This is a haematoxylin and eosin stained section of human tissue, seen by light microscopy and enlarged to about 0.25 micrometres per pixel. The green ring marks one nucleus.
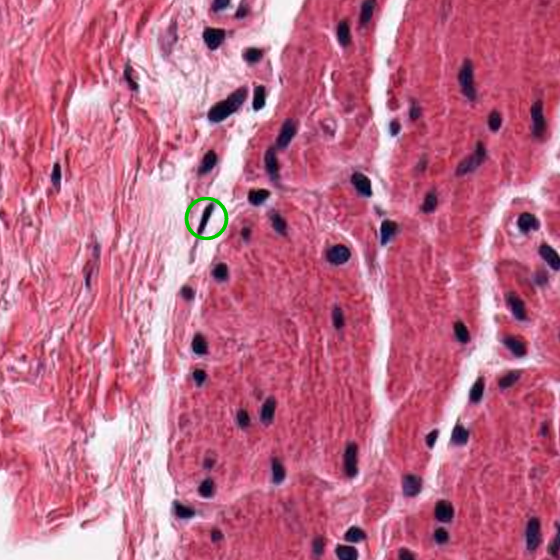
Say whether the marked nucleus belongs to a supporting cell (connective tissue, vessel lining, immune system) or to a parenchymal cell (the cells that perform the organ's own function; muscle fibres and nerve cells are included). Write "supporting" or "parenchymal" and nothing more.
supporting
